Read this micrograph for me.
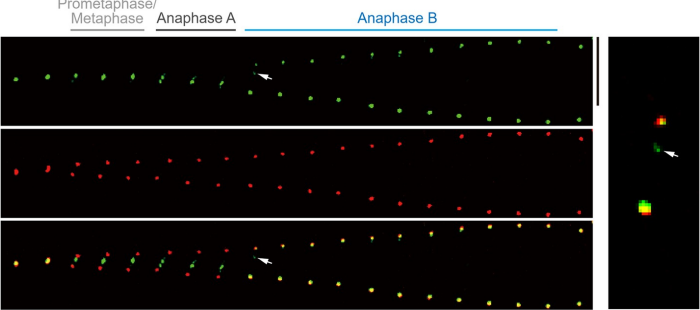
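At first one green and one red dot coincide. The red dots then separate into two, with a green bar or cluster of green dots lying between them. The green dots split and move to the two red poles, which then move far apart.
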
